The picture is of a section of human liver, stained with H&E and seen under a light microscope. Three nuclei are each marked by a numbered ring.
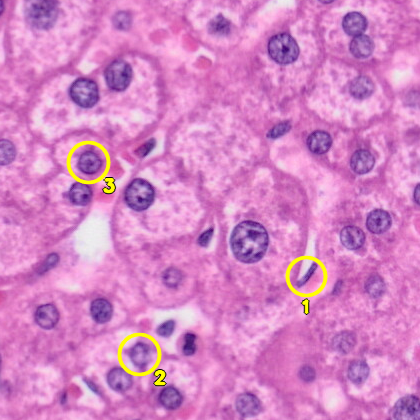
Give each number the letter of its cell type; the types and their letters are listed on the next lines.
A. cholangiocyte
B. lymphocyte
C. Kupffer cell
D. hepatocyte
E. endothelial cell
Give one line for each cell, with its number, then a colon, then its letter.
1: E
2: D
3: D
